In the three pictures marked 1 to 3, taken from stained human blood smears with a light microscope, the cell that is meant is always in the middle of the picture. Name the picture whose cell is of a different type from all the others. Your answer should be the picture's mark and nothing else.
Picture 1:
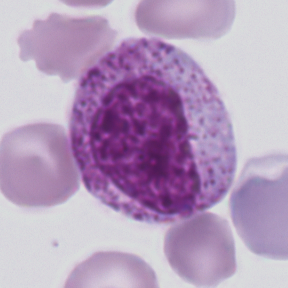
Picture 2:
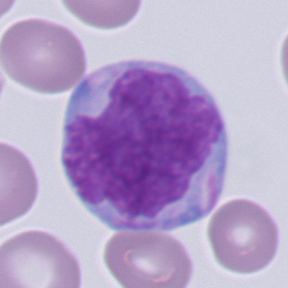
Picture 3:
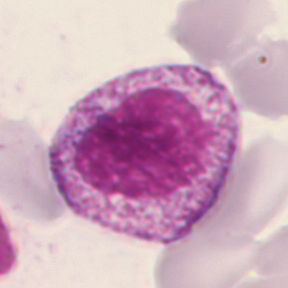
2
